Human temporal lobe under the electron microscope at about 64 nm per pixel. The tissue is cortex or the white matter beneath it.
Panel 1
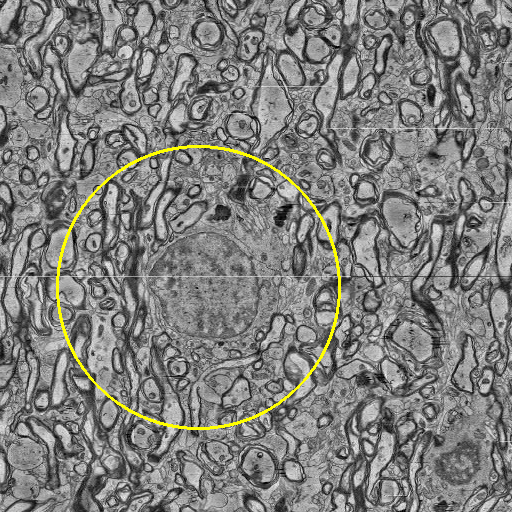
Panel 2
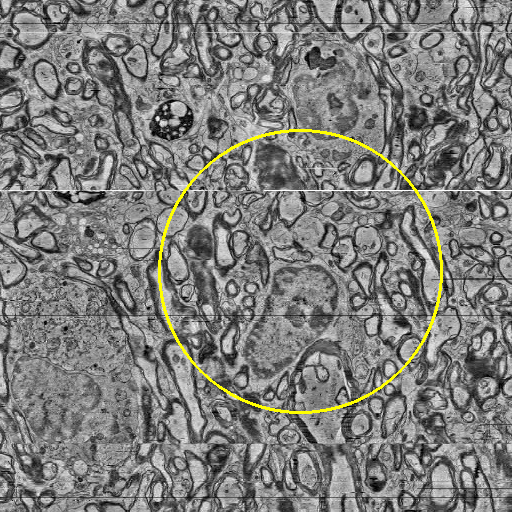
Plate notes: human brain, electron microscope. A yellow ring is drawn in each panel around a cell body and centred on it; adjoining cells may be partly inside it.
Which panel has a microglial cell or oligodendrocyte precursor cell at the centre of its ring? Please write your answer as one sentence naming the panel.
The ring in Panel 2 is centred on such a cell.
